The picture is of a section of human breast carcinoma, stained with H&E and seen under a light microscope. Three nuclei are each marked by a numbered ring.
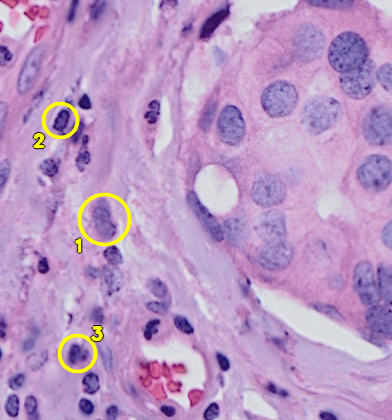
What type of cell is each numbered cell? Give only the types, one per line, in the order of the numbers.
macrophage, monocyte or dendritic cell
lymphocyte
lymphocyte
